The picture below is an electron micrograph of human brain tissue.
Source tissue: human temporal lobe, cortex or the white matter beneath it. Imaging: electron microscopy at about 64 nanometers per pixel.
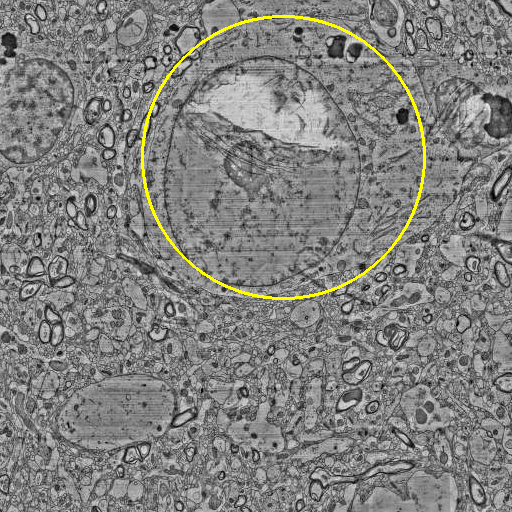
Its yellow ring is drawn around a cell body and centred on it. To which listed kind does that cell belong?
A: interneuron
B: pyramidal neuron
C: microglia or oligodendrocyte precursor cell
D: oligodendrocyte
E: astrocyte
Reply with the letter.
B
